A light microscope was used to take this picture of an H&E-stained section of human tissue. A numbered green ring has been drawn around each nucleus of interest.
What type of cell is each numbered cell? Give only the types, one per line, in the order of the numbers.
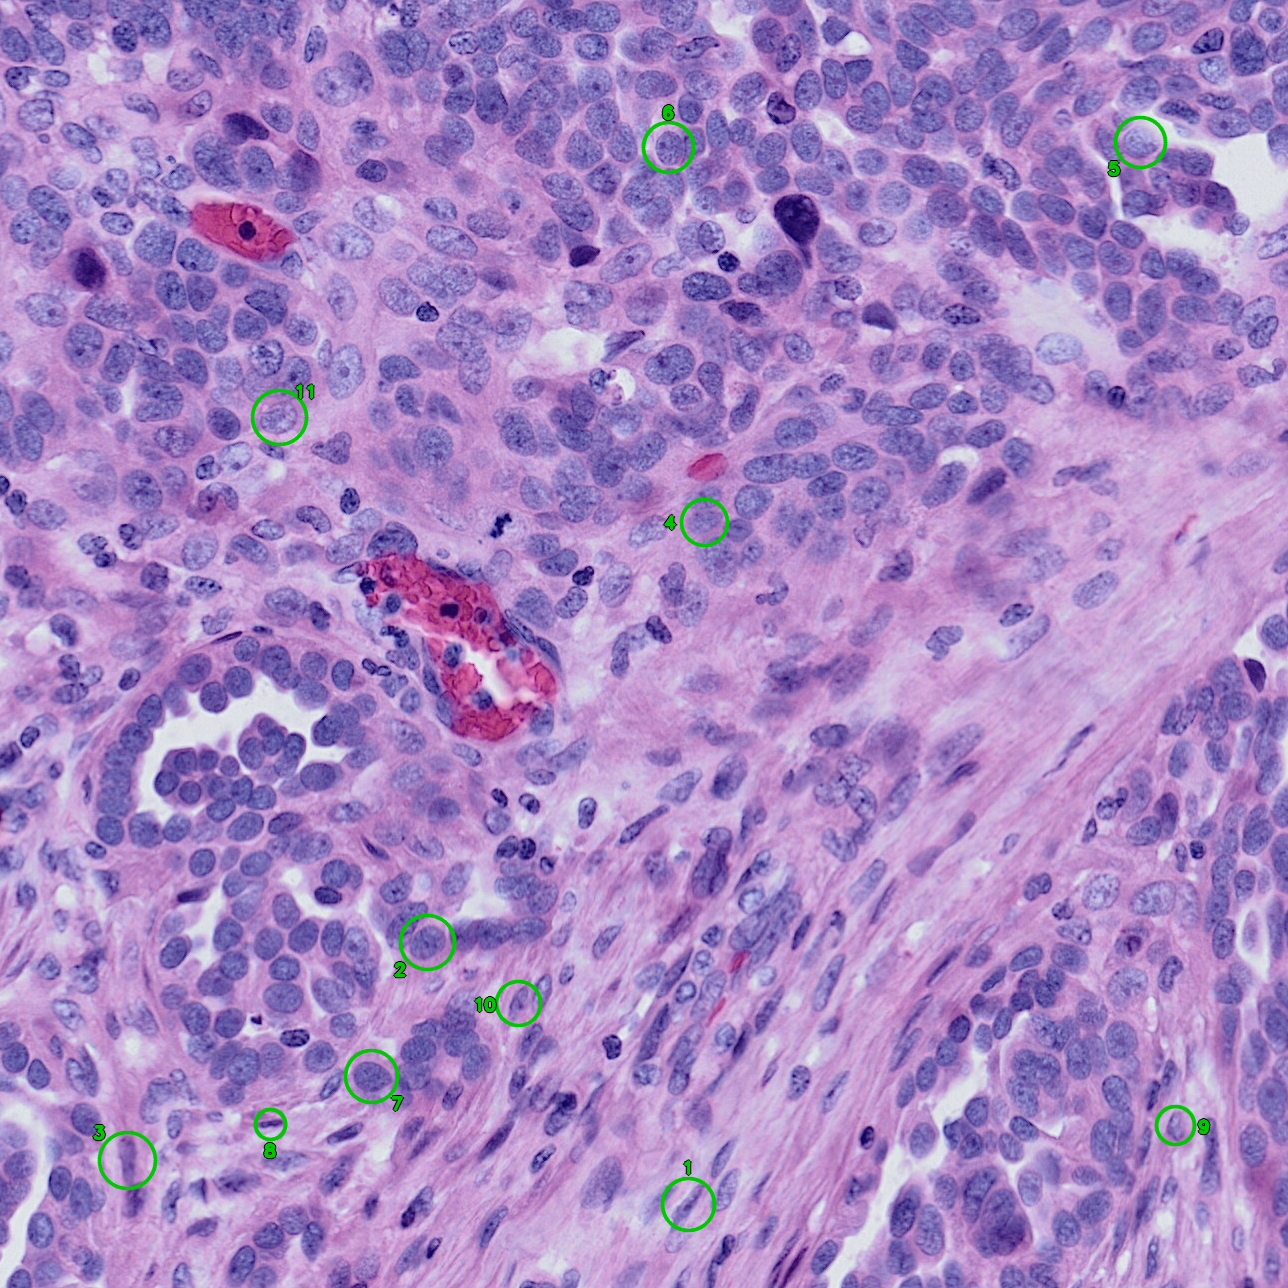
fibroblast
carcinoma cell
fibroblast
carcinoma cell
carcinoma cell
carcinoma cell
carcinoma cell
fibroblast
fibroblast
fibroblast
carcinoma cell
